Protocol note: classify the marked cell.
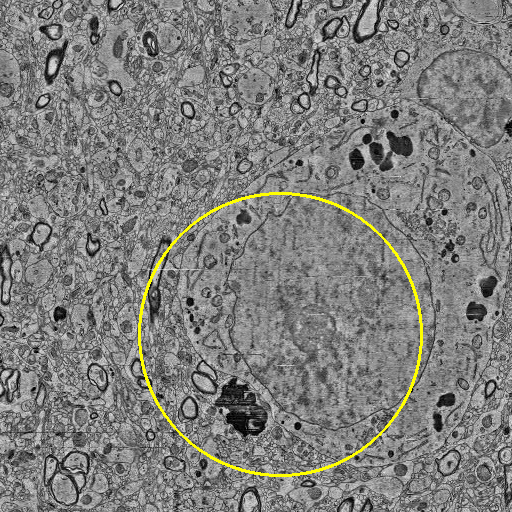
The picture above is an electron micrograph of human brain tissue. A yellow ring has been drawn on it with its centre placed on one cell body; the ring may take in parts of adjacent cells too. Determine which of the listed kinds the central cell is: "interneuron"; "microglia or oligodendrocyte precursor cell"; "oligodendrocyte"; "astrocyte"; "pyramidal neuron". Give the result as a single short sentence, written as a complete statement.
The central cell is a pyramidal neuron.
